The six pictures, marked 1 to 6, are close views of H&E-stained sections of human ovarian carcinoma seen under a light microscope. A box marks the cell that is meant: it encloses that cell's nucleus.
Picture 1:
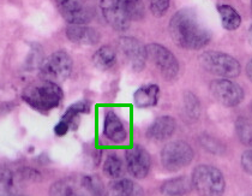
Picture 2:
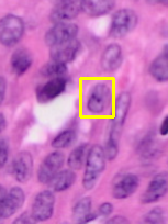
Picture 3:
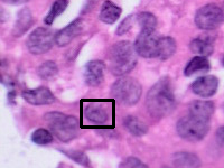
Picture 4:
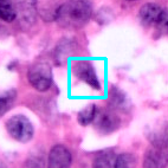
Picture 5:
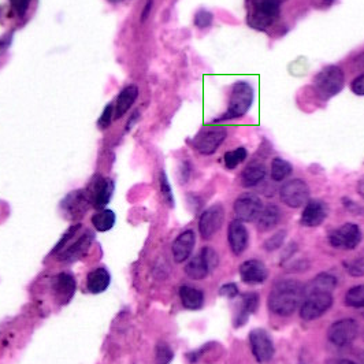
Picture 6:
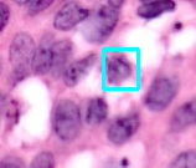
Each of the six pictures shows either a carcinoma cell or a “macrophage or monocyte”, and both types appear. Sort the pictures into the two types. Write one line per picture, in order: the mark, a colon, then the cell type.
1: carcinoma cell
2: macrophage or monocyte
3: carcinoma cell
4: carcinoma cell
5: macrophage or monocyte
6: macrophage or monocyte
